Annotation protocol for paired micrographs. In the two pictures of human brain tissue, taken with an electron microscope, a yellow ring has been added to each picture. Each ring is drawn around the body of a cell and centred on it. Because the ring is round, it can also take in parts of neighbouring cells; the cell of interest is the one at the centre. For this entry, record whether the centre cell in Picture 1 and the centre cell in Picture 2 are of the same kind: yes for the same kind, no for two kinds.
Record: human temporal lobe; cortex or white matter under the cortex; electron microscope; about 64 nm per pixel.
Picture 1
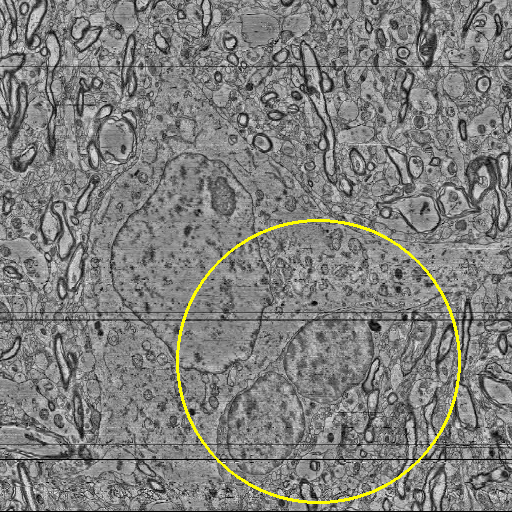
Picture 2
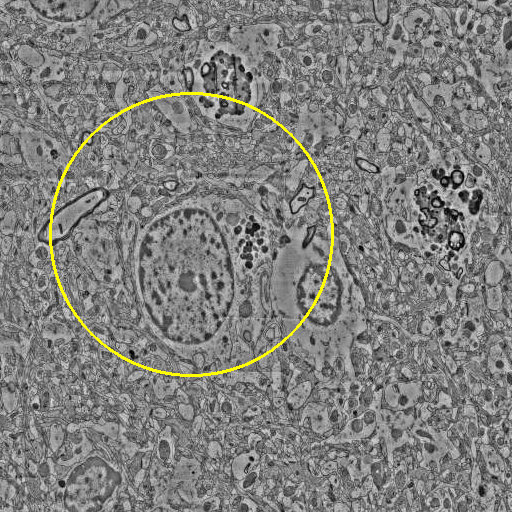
no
